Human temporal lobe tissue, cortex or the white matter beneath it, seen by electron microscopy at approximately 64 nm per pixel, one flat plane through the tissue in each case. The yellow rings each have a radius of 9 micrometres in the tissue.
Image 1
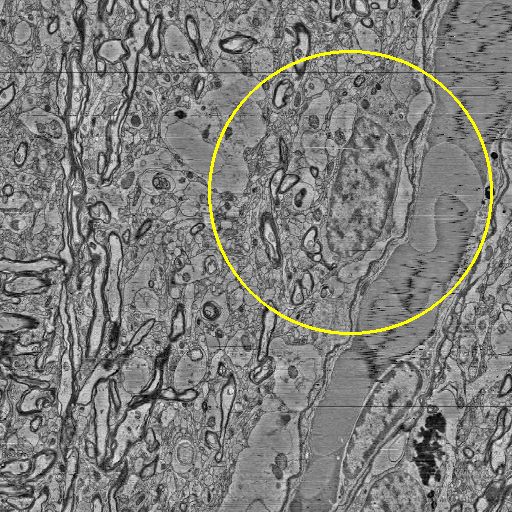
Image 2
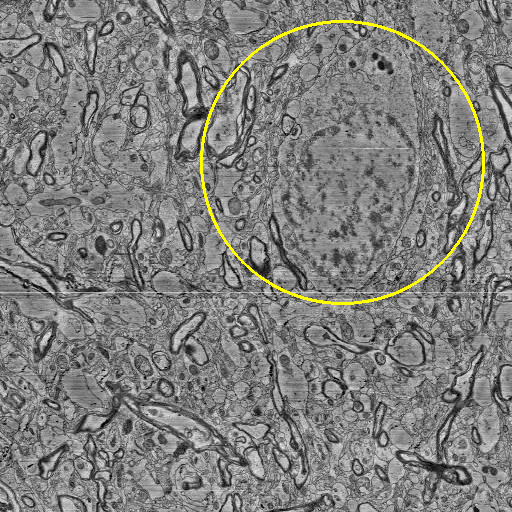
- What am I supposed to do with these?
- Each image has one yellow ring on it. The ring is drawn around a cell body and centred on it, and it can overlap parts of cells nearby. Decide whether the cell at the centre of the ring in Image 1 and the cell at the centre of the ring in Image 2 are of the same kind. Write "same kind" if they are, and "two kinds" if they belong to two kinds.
two kinds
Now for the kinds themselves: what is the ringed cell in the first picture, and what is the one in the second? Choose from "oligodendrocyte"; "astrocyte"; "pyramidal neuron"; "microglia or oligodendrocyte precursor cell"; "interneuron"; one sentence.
Here the first cell is an oligodendrocyte and the second cell is an interneuron.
